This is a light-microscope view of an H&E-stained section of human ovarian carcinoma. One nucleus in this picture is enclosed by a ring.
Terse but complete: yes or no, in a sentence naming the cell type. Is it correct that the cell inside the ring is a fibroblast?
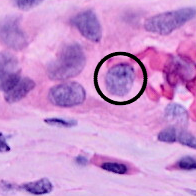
No, the cell inside the ring corresponds to an endothelial cell rather than to a fibroblast.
